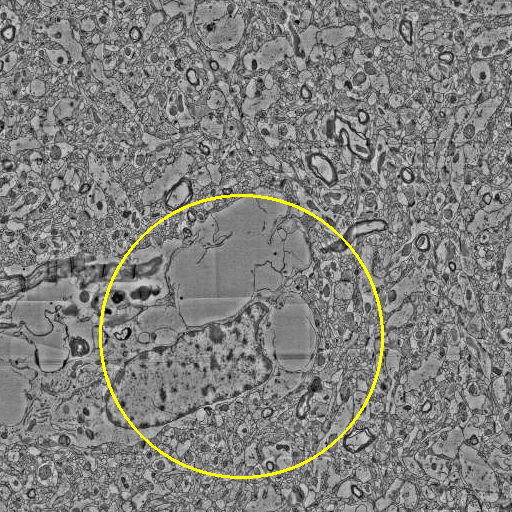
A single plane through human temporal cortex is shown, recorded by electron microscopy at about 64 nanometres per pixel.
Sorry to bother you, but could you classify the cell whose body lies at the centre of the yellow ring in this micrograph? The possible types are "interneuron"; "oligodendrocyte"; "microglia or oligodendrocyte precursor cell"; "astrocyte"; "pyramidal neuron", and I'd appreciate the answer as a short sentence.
The ringed cell body is that of a microglial cell or oligodendrocyte precursor cell.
